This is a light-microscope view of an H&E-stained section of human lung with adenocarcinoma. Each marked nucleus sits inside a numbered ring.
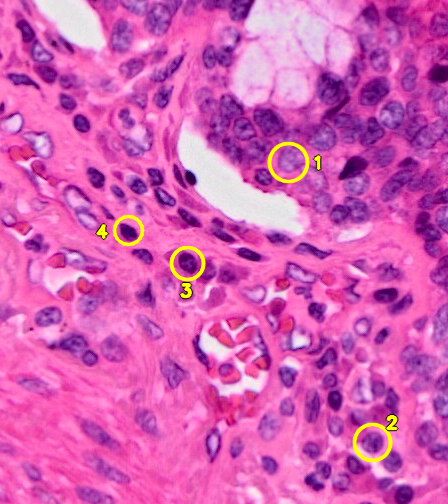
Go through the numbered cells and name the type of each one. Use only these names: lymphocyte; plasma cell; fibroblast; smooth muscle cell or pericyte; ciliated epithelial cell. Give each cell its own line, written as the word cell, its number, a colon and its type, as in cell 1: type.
cell 1: ciliated epithelial cell
cell 2: lymphocyte
cell 3: plasma cell
cell 4: lymphocyte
